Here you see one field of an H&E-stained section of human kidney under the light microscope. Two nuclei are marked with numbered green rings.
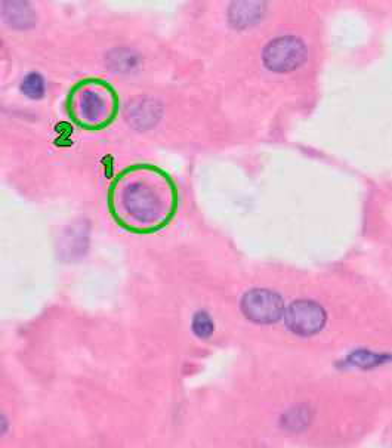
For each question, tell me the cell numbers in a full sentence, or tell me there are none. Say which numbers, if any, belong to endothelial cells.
Cell 2 represents an endothelial cell, and no other numbered cell does.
